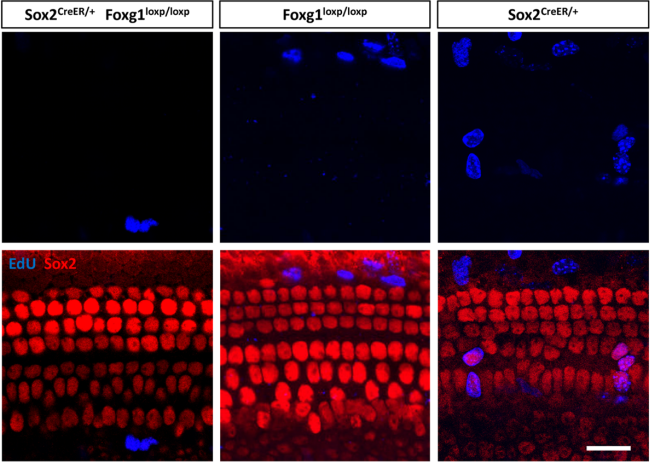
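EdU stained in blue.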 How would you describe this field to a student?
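This whole-mount view of the cochlear sensory epithelium shows nuclei of supporting cells stained red, lying in regular parallel rows along the length of the epithelium. Scattered blue nuclei appear among or beside the rows, some overlapping the red nuclei, while most red nuclei carry no blue. The upper row of images shows the blue channel alone, with only a few labelled nuclei.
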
